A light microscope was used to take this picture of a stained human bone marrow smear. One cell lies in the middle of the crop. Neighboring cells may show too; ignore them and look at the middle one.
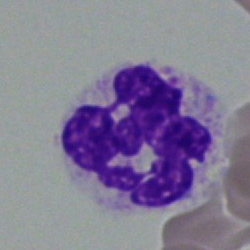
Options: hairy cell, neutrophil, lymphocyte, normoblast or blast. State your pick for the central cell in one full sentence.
This crop's central cell is a neutrophil.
